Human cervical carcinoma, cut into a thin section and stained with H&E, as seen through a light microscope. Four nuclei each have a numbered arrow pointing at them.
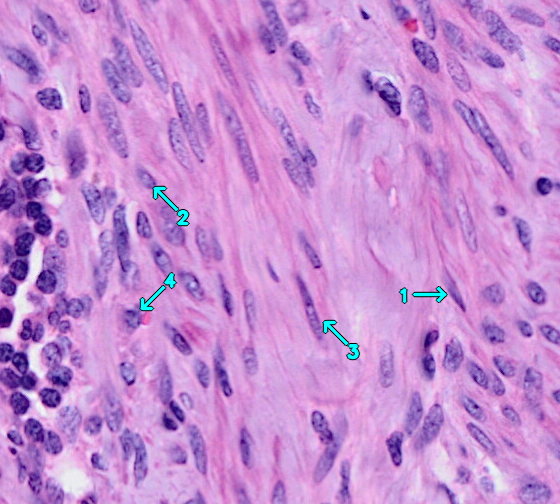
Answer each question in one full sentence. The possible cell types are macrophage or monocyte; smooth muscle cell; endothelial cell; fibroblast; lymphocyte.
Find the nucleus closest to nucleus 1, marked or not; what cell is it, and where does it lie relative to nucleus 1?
It is a smooth muscle cell, whose nucleus lies to the right of nucleus 1.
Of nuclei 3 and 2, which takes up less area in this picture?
It is nucleus 2; nucleus 3 has about 2 times its area.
